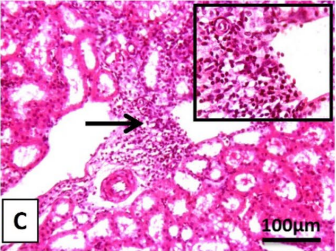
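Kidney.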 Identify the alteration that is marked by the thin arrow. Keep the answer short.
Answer: interstitial inflammation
